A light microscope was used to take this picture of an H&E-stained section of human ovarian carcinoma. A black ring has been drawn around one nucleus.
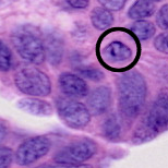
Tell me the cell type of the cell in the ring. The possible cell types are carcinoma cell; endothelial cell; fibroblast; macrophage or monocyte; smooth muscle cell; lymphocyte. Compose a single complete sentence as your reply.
As for its identity, the cell in the ring is a macrophage or monocyte.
